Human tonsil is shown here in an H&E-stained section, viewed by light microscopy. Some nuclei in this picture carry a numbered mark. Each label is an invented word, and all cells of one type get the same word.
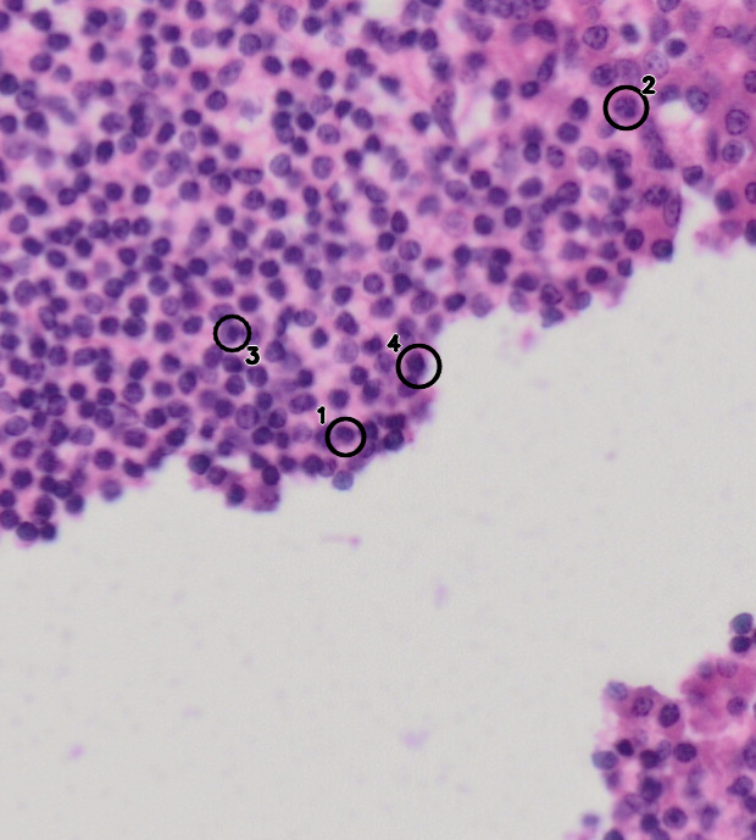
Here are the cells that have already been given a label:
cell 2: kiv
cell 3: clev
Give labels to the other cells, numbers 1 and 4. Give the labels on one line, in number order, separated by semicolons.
clev; clev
